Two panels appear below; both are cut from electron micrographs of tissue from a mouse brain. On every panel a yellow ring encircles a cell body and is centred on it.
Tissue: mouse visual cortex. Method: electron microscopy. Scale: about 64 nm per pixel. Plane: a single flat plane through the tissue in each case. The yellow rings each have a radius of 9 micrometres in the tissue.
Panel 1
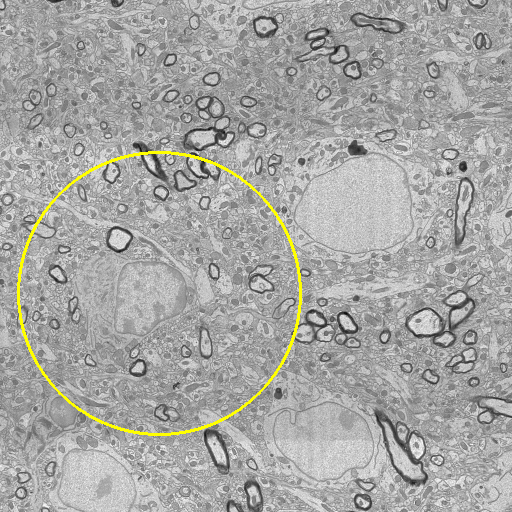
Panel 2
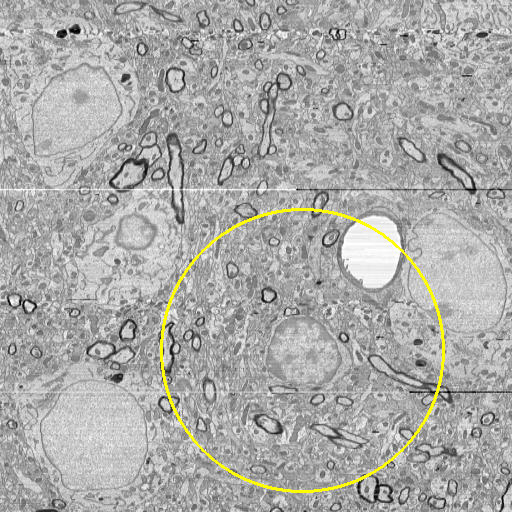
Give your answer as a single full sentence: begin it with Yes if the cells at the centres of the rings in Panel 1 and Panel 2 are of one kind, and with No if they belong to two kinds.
Yes, the cells in the middle of the rings in Panels 1 and 2 are of one kind.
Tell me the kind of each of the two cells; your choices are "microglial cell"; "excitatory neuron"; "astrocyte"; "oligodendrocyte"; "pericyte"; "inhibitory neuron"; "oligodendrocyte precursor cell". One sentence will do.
Both rings mark an oligodendrocyte, one in each picture.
